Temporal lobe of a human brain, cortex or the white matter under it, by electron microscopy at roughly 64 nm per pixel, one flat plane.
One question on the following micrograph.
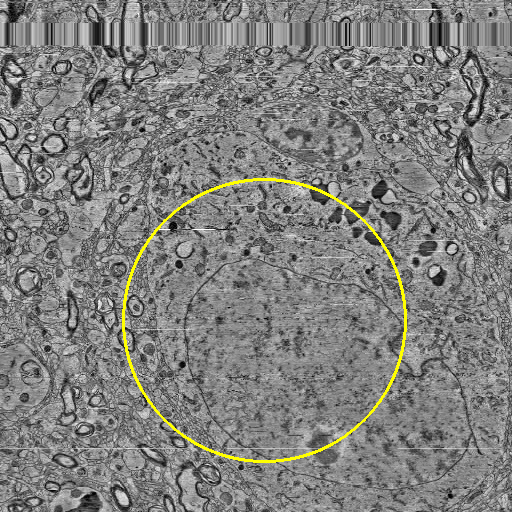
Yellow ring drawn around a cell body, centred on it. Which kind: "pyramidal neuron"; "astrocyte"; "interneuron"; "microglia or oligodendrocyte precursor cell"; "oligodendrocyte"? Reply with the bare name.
pyramidal neuron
